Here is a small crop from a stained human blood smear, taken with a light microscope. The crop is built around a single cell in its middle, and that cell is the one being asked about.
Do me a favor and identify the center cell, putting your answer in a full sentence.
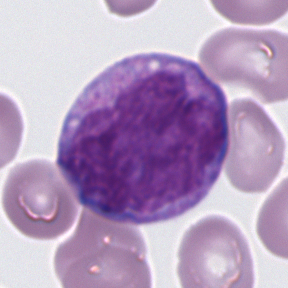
The cell sitting right in the middle is an atypical promyelocyte.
